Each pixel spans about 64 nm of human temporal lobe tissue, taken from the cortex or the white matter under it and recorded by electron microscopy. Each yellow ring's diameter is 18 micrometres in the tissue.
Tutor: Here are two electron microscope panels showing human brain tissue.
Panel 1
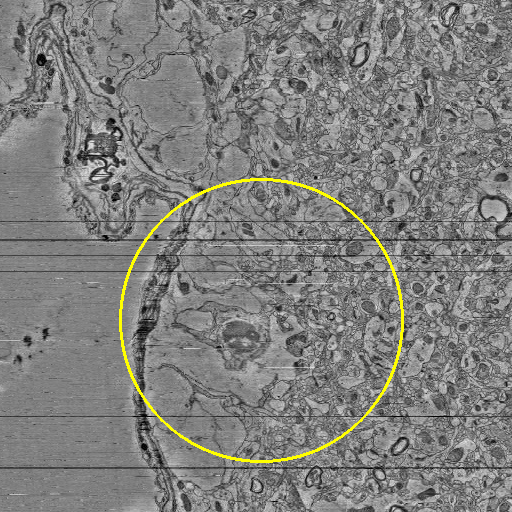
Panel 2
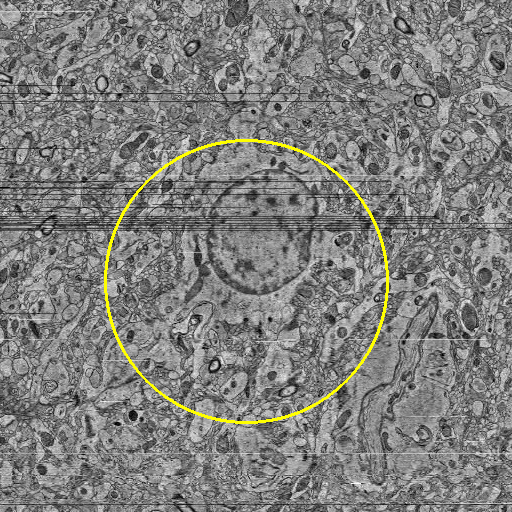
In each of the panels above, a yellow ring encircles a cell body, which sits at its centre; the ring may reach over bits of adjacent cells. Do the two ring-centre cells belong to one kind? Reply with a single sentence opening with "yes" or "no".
No, the two cells sitting at the ring centres in the panels belong to two kinds.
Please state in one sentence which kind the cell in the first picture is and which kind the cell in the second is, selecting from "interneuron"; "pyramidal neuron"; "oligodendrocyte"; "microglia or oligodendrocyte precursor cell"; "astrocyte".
The first ringed cell is a microglial cell or oligodendrocyte precursor cell, the second ringed cell an astrocyte.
